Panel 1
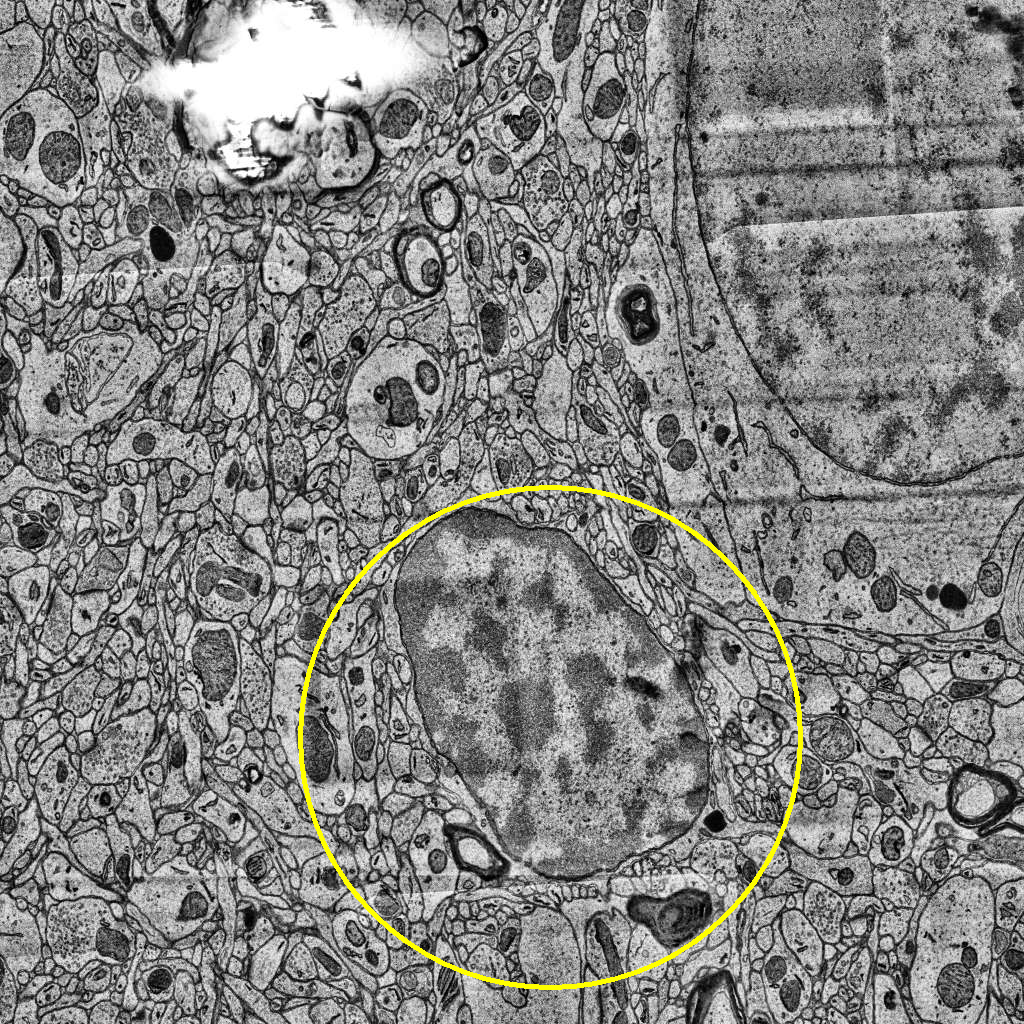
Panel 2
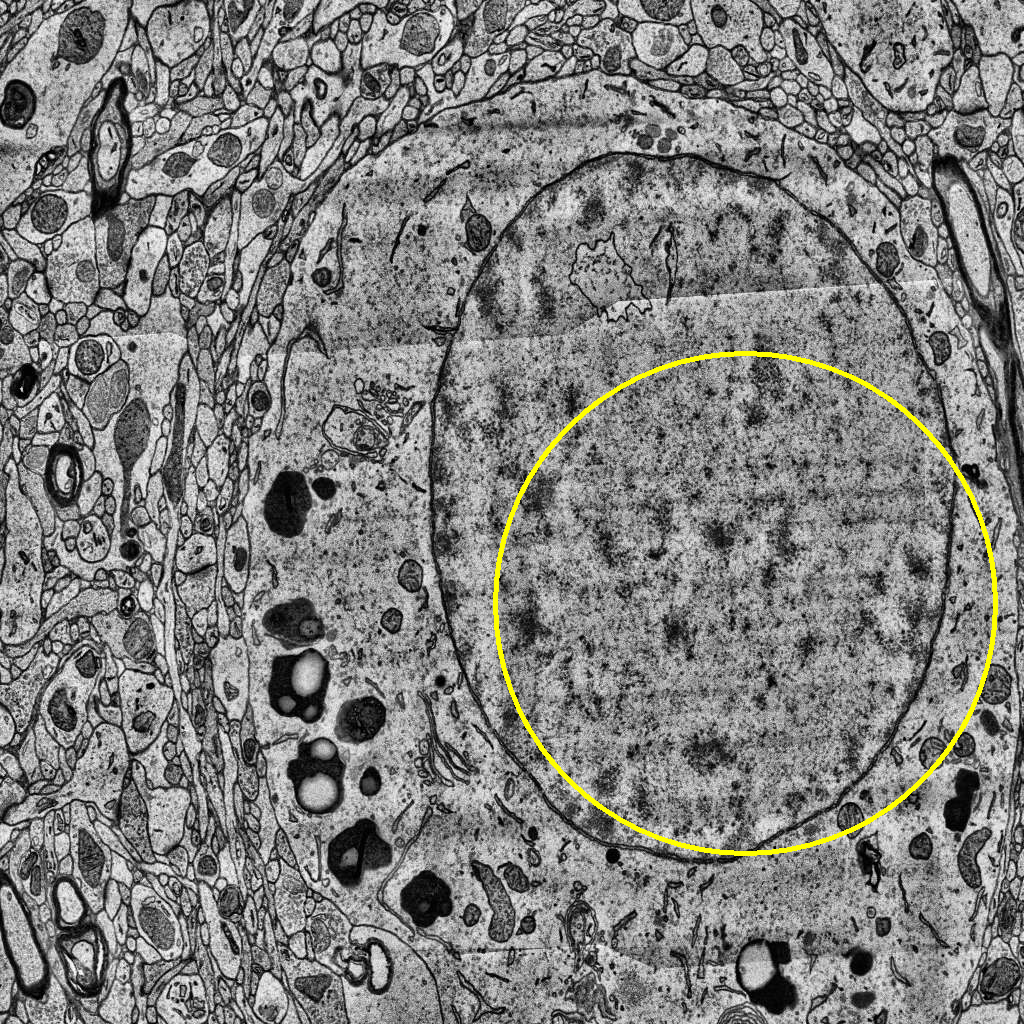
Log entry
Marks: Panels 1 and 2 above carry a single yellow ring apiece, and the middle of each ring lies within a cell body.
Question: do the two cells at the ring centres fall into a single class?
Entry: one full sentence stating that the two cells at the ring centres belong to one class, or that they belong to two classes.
The two cells at the ring centres in Panels 1 and 2 belong to two classes.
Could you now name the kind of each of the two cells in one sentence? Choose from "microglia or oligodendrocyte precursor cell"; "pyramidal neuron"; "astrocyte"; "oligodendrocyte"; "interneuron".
The first picture has a microglial cell or oligodendrocyte precursor cell at its ring centre, and the second has a pyramidal neuron.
